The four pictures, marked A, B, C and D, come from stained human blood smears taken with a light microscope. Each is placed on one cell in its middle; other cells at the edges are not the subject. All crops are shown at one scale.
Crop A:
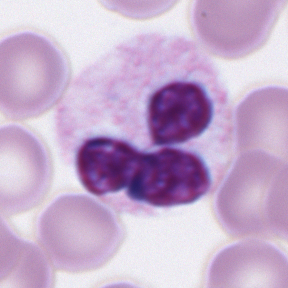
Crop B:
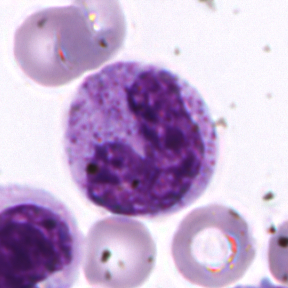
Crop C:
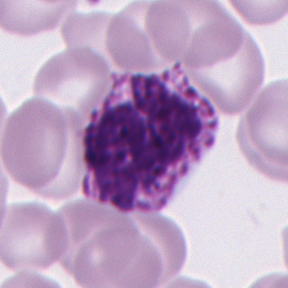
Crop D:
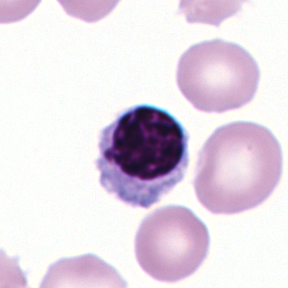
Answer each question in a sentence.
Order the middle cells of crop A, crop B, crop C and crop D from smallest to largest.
Going up, they run D, C, B, A.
